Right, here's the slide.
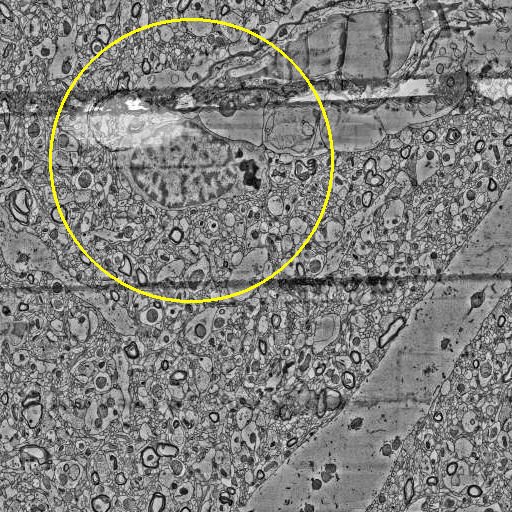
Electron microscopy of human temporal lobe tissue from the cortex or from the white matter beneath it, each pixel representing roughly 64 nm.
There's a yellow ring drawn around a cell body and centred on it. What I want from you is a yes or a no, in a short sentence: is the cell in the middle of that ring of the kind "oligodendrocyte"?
Yes, it's of that kind.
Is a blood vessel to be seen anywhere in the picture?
Yes, a vessel shows somewhere in the image.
